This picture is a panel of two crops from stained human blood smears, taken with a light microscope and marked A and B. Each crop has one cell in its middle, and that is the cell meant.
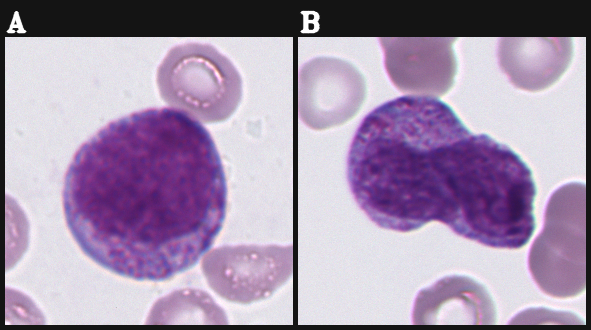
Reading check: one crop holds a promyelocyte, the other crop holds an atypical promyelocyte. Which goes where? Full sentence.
In this set, crop A is a promyelocyte and crop B is an atypical promyelocyte.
